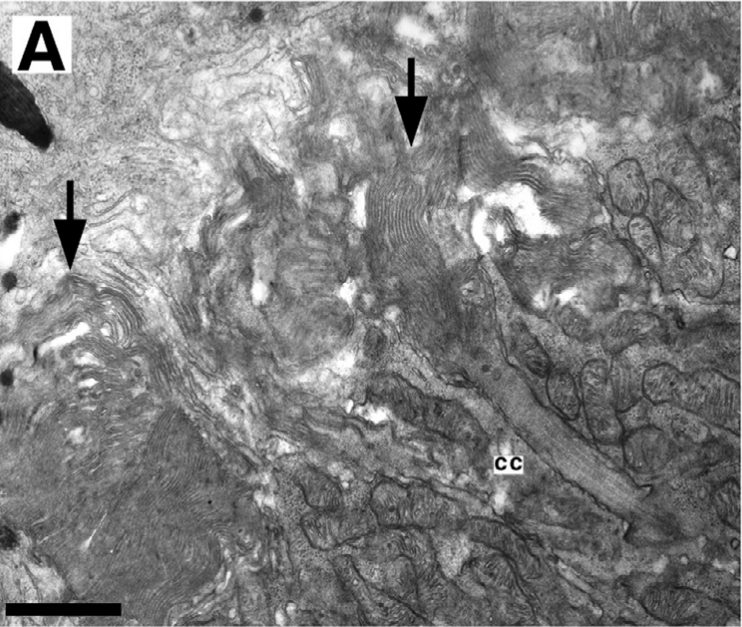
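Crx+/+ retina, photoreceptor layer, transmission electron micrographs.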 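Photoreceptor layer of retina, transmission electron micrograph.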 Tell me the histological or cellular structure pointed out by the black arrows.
Nascent outer segment structures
